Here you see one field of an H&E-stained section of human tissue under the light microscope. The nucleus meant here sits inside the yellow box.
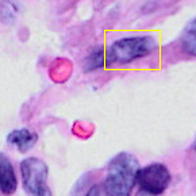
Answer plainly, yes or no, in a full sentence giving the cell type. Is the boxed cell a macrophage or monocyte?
Yes, the boxed cell corresponds to a macrophage or monocyte in this tissue.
